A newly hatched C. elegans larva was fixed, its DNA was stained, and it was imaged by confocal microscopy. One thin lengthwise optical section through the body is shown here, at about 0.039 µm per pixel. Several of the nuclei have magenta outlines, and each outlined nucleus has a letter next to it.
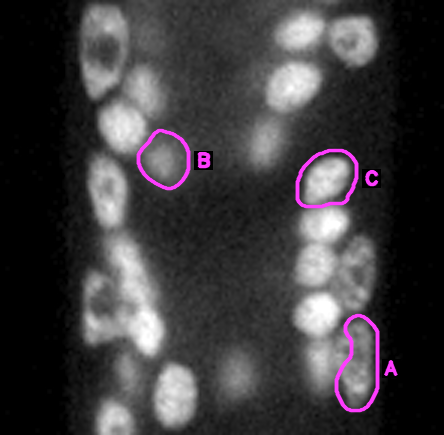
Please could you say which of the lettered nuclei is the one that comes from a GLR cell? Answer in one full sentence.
Nucleus B belongs to a GLR cell.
